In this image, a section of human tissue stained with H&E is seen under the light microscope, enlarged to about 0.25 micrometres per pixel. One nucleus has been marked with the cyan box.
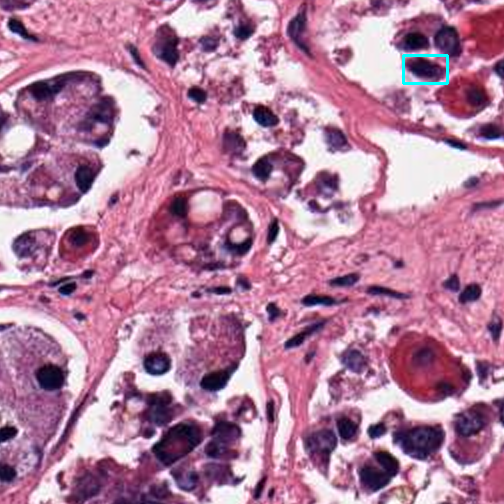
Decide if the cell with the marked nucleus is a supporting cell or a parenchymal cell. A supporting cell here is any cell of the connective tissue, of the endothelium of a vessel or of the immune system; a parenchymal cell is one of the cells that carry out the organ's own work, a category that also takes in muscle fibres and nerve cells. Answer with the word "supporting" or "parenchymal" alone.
parenchymal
